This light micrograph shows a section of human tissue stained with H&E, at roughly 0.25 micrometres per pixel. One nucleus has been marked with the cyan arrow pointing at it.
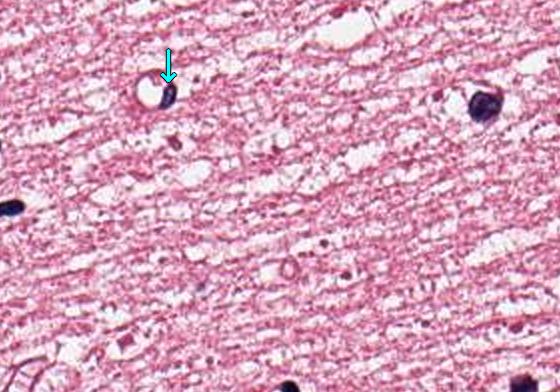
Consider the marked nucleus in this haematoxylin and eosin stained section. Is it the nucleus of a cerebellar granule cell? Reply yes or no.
no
